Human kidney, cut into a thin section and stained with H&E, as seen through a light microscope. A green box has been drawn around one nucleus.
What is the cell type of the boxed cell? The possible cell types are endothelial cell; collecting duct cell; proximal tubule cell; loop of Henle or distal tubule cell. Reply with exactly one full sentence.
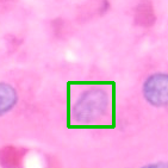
In this section, the boxed cell is a proximal tubule cell.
